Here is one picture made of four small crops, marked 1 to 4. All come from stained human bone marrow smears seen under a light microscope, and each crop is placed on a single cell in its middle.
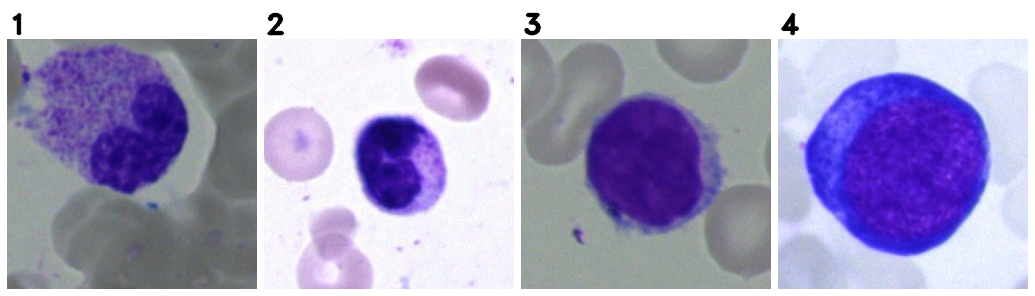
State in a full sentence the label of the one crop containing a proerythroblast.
Crop 4 is the crop that shows a proerythroblast in its middle.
